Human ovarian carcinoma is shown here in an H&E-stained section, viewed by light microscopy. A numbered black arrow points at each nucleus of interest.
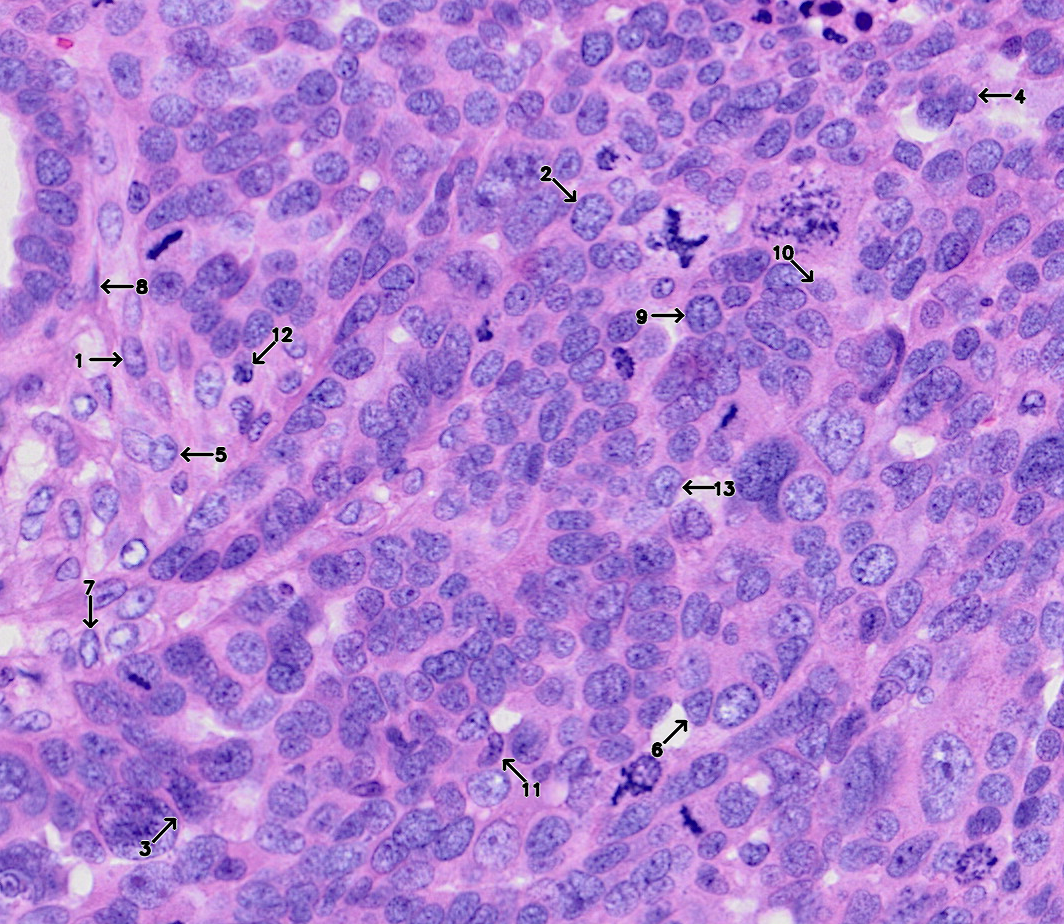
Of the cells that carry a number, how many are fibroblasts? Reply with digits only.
4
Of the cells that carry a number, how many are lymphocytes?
1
